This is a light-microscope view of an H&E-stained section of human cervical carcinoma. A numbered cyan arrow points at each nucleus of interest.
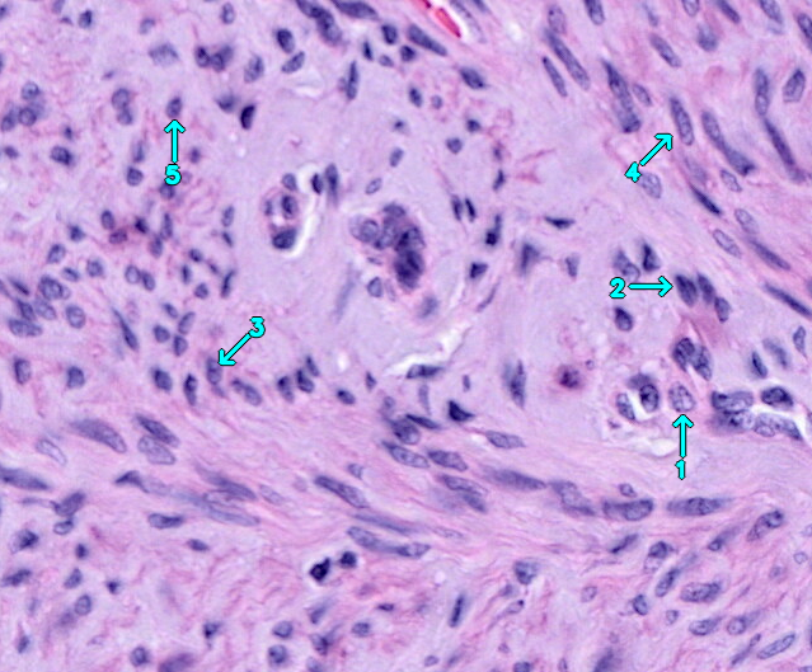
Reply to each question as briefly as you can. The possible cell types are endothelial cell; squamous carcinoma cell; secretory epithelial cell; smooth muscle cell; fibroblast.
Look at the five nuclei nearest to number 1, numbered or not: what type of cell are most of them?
endothelial cell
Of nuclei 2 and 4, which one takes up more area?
4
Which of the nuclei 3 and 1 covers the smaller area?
3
